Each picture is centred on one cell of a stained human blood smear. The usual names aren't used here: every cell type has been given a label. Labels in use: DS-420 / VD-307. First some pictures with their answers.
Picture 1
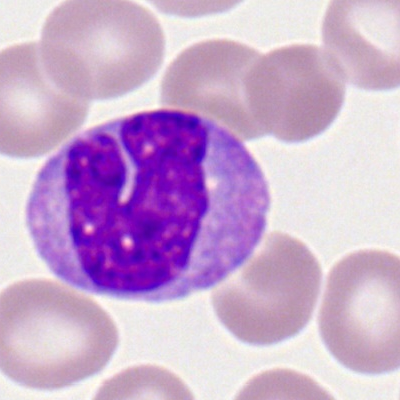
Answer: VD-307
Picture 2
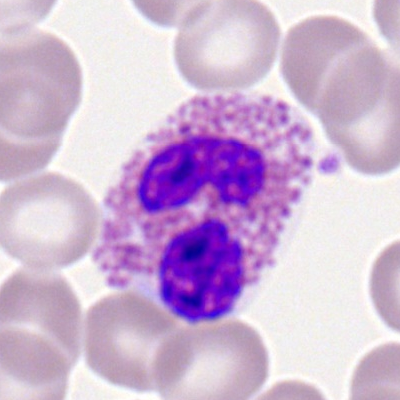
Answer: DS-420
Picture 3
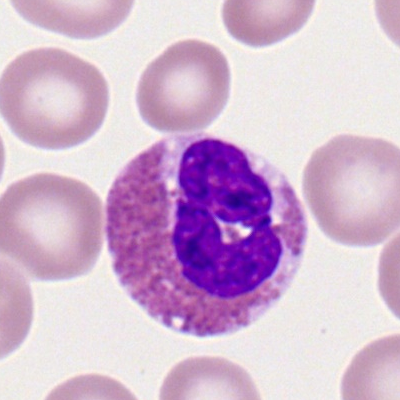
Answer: DS-420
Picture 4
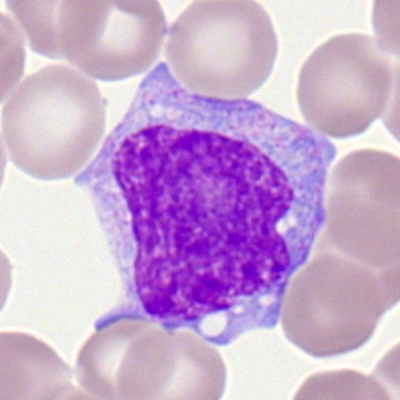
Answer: VD-307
